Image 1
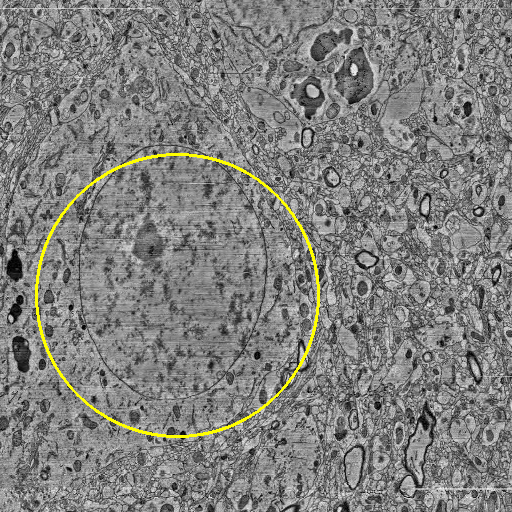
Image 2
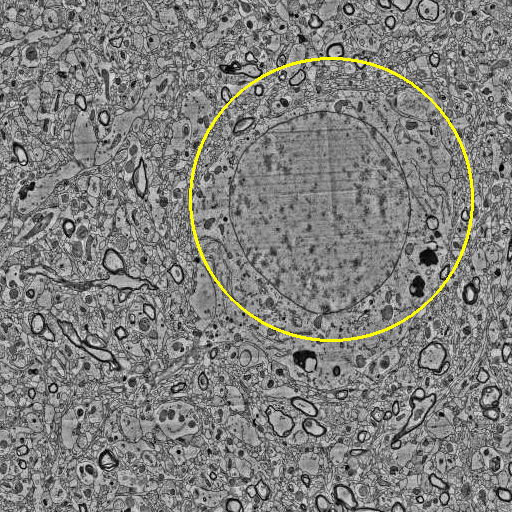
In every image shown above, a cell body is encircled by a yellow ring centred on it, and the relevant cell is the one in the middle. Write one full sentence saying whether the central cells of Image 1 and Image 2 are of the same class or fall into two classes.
The cell at the ring's centre in Image 1 and its counterpart in Image 2 are of the same class.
